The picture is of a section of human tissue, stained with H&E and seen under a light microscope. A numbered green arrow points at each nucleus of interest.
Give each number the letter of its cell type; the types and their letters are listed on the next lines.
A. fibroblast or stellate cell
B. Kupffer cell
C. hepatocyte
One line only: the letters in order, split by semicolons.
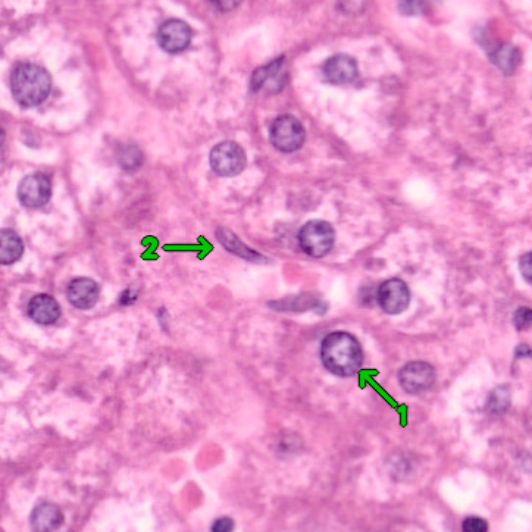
C; B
